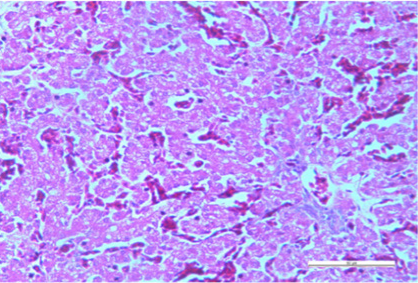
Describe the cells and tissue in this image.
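Liver in which the hepatocytes show pale, foamy, vacuolated cytoplasm and poorly defined nuclei. Cell cords are swollen and their borders indistinct. Spaces between the cords are filled with dark red blood cells, giving a congested appearance. A pale bluish area lies toward one side of the field.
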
